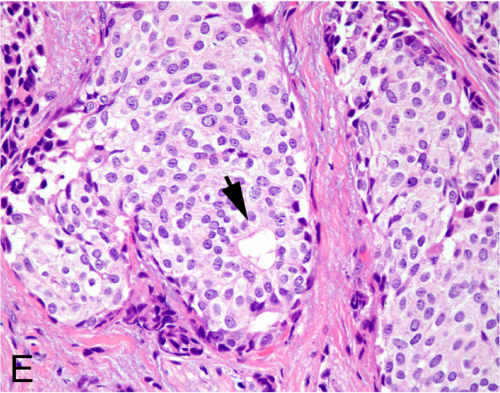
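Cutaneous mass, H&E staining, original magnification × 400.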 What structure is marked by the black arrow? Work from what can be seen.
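Glandular or rosette-like structures. The arrow points at a small clear space within a nest of tumor cells. Cells lie around the clear space.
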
